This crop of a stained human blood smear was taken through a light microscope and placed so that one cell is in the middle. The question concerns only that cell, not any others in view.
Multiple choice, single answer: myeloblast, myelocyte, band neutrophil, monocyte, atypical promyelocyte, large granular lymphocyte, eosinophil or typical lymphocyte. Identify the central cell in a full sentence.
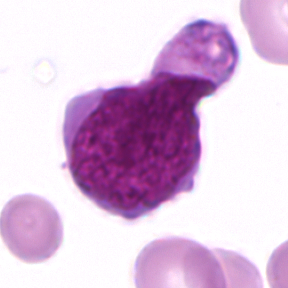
Looking at the middle of the crop, the cell there is an atypical promyelocyte.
